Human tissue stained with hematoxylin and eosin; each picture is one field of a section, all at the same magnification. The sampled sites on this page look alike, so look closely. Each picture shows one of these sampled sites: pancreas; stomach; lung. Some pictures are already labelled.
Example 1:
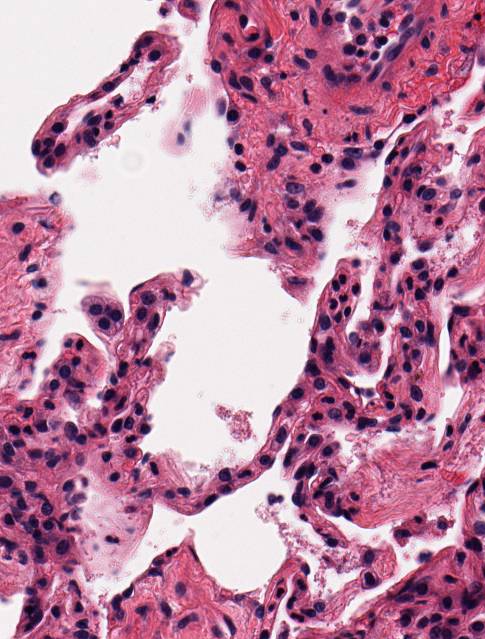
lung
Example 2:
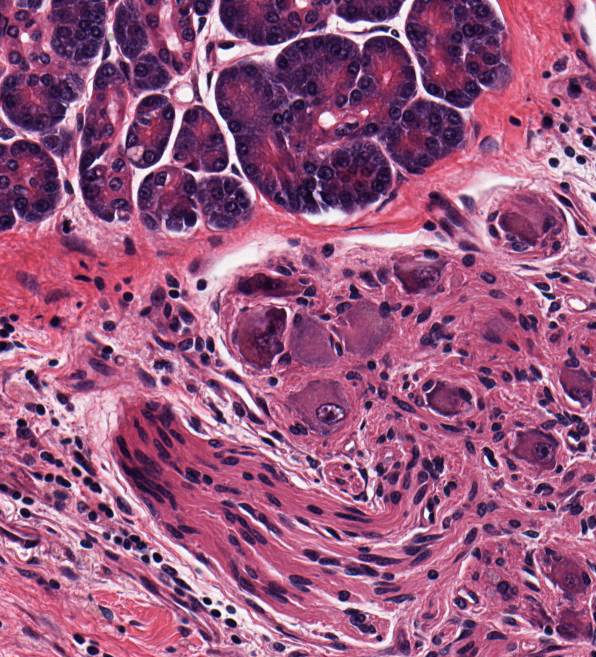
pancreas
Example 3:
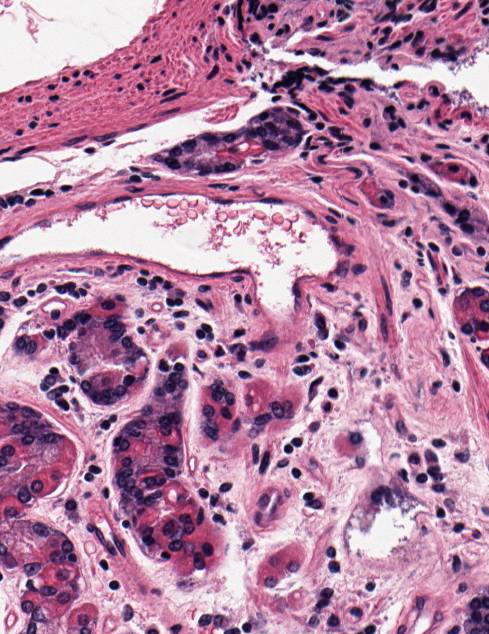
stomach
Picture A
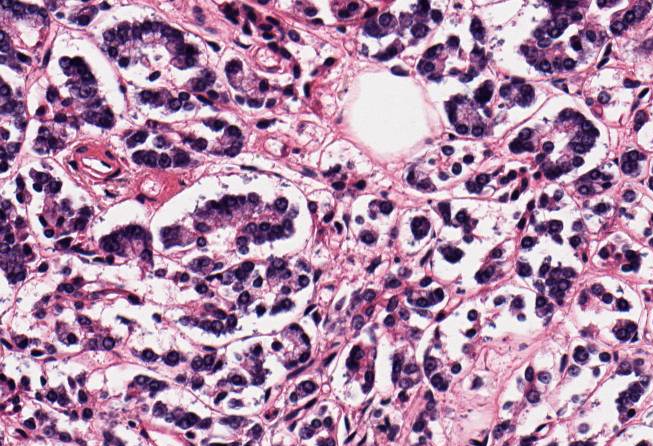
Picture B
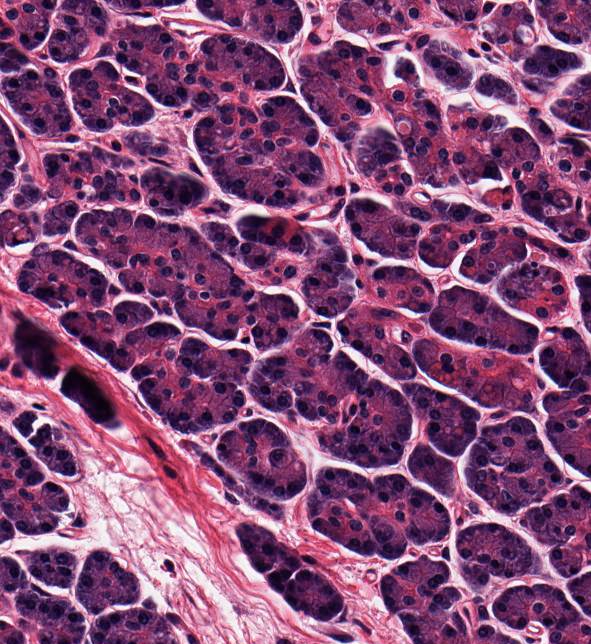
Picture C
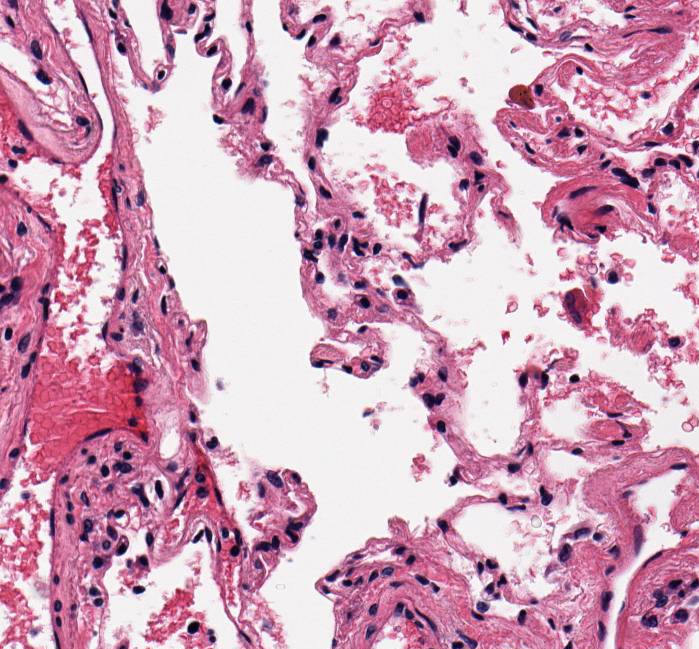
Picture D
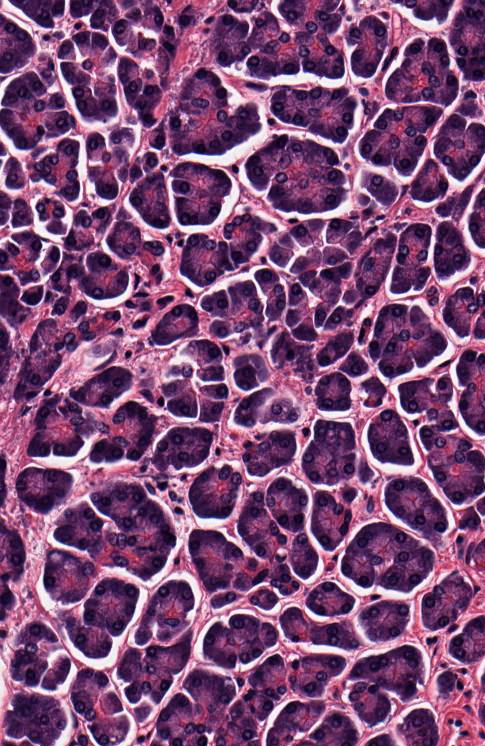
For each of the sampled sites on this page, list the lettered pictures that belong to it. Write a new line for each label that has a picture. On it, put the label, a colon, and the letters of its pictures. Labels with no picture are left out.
pancreas: A, B, D
lung: C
